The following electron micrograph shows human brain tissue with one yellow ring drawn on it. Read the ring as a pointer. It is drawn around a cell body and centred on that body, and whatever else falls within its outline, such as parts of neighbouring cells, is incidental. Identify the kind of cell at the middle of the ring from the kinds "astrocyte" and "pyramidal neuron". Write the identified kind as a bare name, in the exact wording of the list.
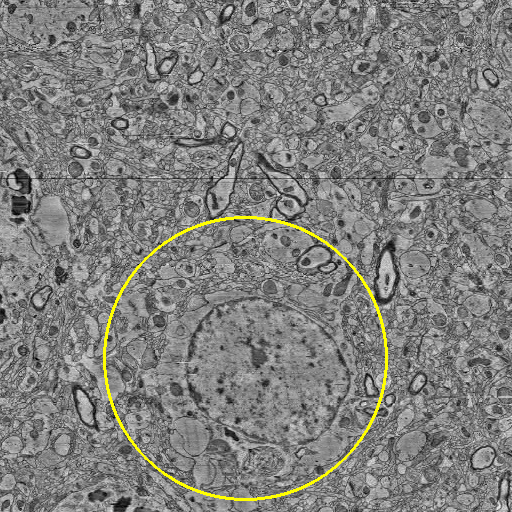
astrocyte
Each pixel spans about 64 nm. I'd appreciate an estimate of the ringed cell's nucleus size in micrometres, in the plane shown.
In this plane the ringed cell's nucleus is roughly 10 micrometres across.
